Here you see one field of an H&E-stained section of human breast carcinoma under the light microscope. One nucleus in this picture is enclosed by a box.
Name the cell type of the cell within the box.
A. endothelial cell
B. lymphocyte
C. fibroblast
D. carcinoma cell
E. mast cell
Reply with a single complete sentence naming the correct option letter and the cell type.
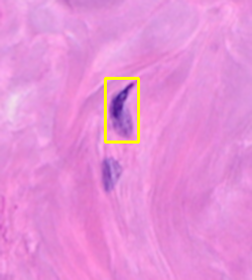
Option C gets it right, as the cell within the box is a fibroblast.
